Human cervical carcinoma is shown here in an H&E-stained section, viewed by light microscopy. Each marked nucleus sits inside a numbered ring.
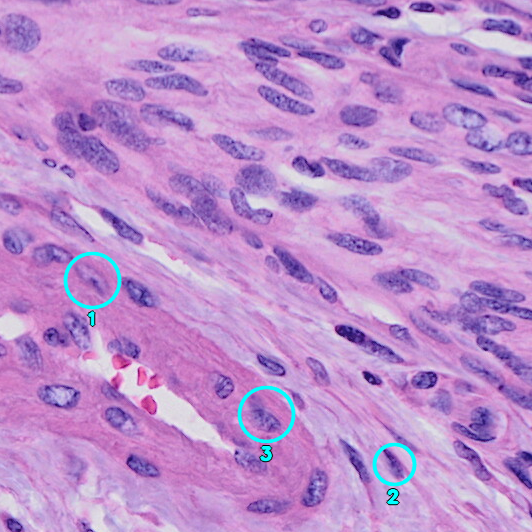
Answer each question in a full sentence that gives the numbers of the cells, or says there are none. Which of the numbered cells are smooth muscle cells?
Identification: the cells with numbers 1 and 3 are smooth muscle cells.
